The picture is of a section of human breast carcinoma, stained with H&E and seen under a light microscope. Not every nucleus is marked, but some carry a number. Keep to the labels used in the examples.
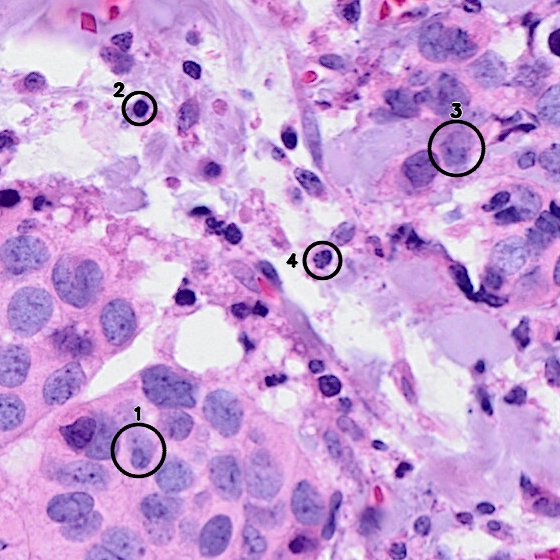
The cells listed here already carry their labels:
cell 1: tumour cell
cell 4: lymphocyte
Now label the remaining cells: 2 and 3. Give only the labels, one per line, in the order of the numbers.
lymphocyte
tumour cell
